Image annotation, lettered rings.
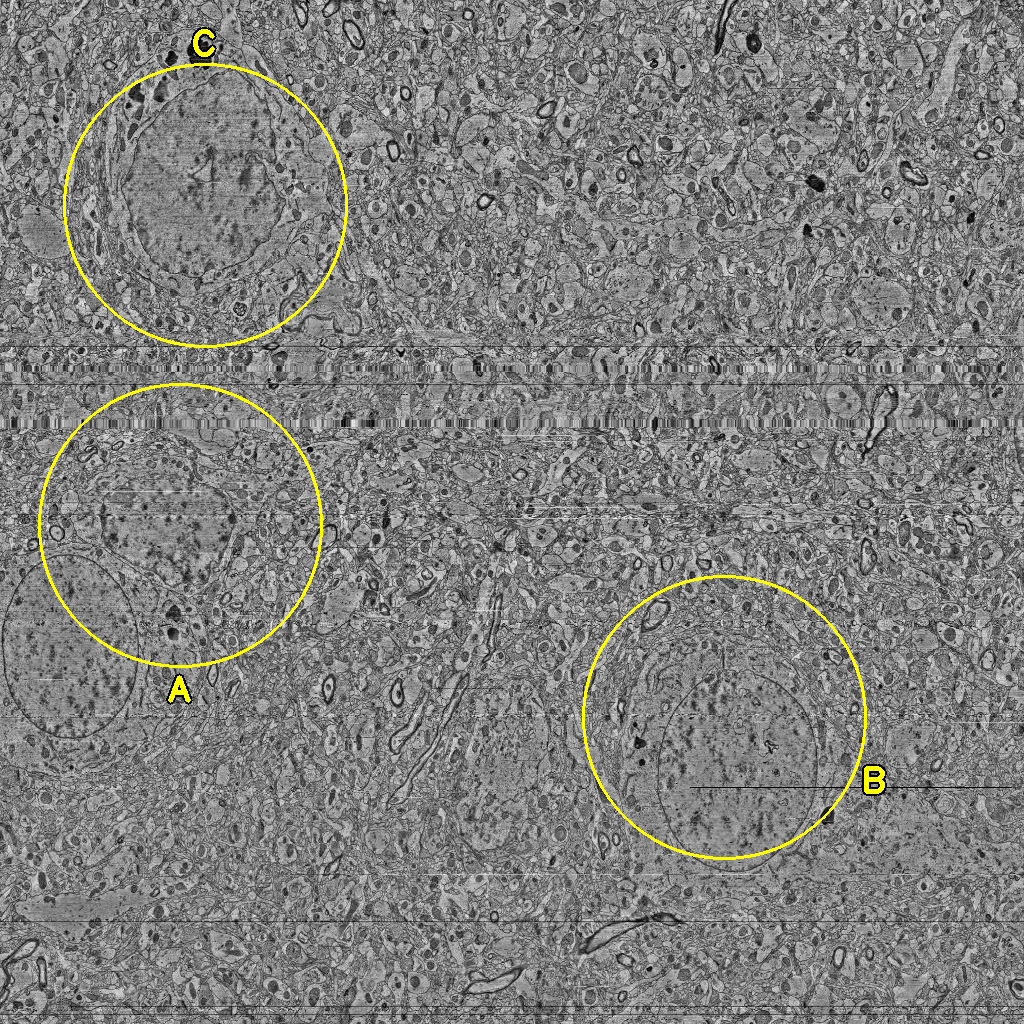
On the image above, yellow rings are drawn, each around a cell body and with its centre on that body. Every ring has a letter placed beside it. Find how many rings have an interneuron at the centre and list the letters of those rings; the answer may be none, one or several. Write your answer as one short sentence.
The letters A and C mark two rings, and each such ring is centred on an interneuron.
